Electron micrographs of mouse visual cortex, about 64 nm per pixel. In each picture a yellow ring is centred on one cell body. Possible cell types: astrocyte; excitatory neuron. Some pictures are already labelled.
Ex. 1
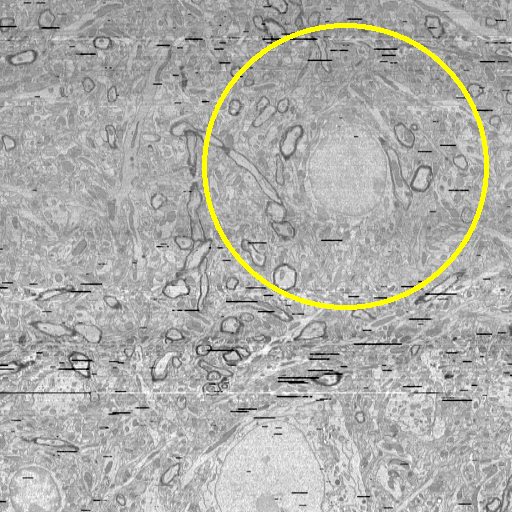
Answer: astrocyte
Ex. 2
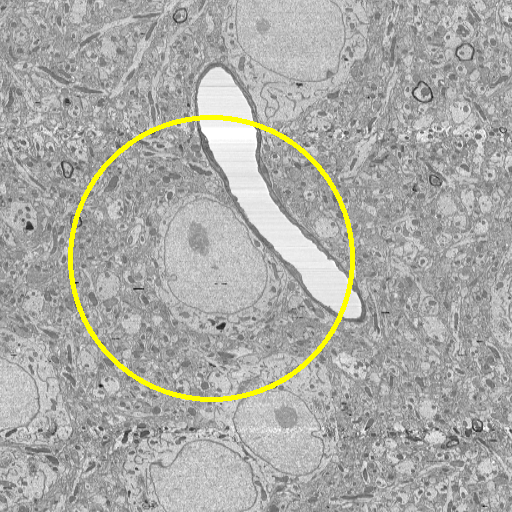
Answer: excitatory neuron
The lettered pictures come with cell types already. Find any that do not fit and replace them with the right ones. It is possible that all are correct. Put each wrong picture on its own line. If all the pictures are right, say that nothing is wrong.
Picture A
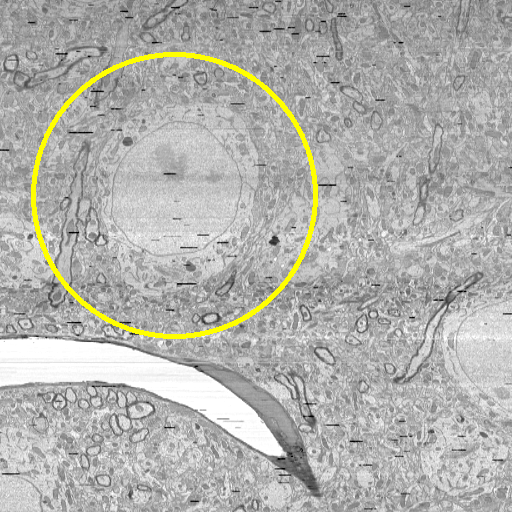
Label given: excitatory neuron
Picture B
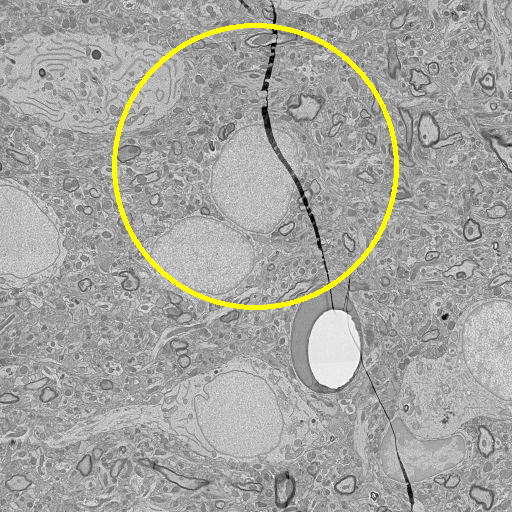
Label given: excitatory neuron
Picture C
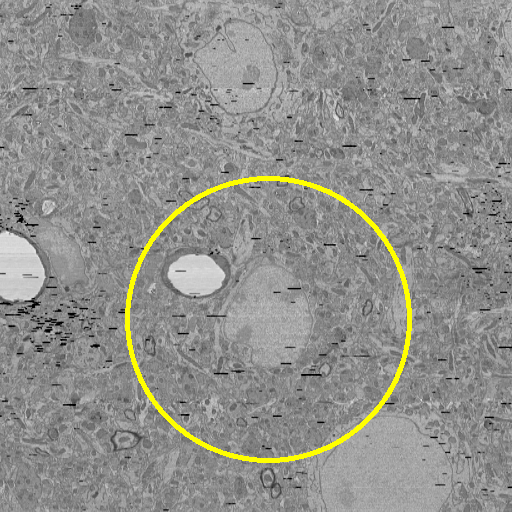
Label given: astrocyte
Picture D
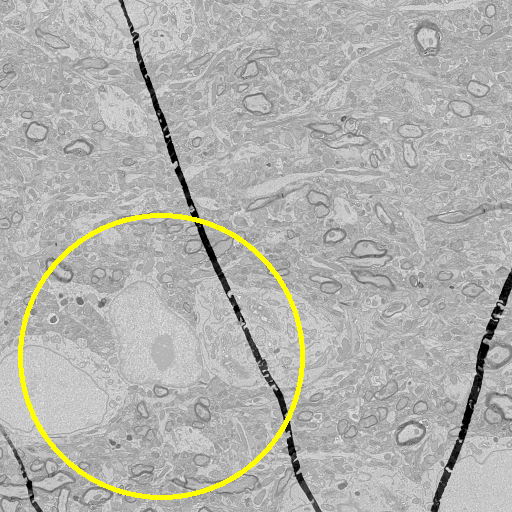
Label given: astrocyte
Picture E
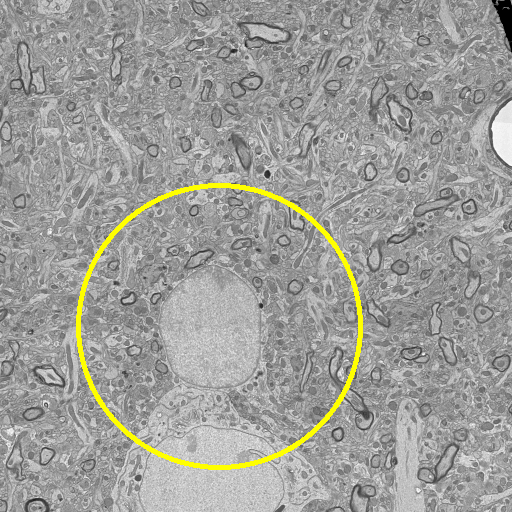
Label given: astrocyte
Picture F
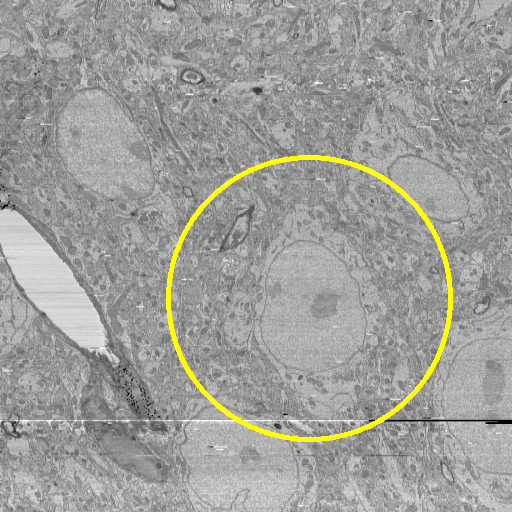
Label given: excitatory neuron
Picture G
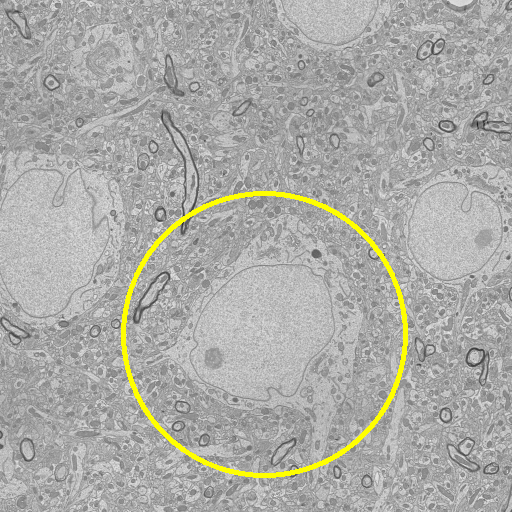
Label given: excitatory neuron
B: not excitatory neuron but astrocyte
